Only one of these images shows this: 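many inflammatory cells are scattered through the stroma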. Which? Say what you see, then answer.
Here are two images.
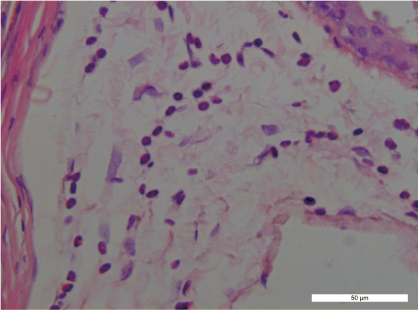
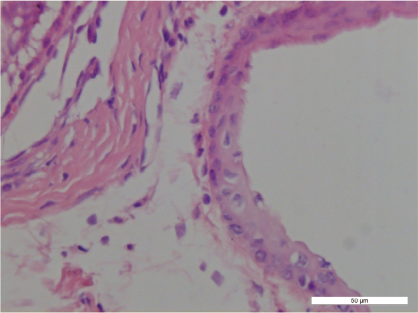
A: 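First image: numerous small dark-nucleated round cells lie spread through the loose pink stroma.
Conclusion: the first image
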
